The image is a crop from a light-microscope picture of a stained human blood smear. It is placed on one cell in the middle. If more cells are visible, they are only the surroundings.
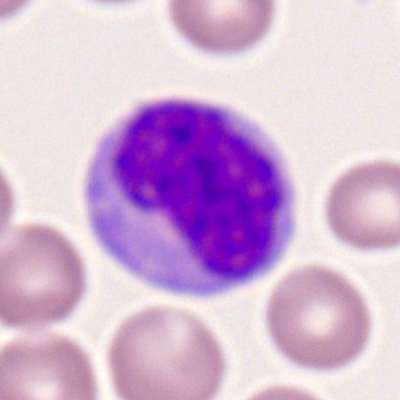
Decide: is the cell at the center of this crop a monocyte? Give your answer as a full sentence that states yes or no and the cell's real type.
Yes, the centered cell in this field is a monocyte.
